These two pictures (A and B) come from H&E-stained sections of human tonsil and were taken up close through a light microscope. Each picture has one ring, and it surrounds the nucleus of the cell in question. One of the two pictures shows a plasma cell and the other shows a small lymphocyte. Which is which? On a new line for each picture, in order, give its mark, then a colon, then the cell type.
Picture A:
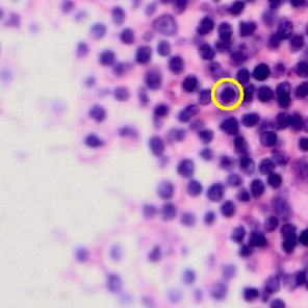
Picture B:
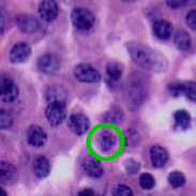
A: small lymphocyte
B: plasma cell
